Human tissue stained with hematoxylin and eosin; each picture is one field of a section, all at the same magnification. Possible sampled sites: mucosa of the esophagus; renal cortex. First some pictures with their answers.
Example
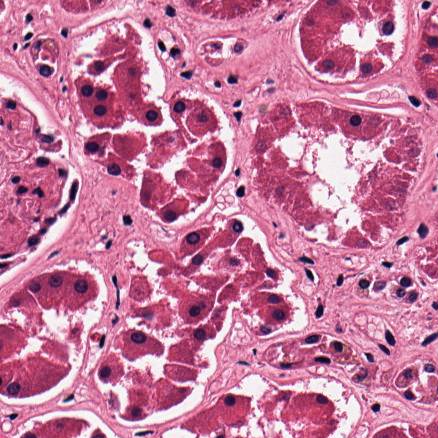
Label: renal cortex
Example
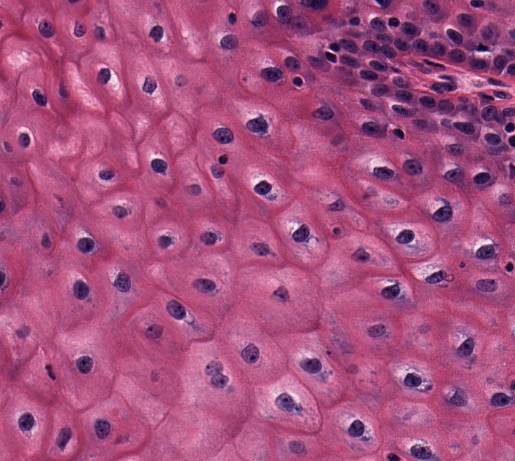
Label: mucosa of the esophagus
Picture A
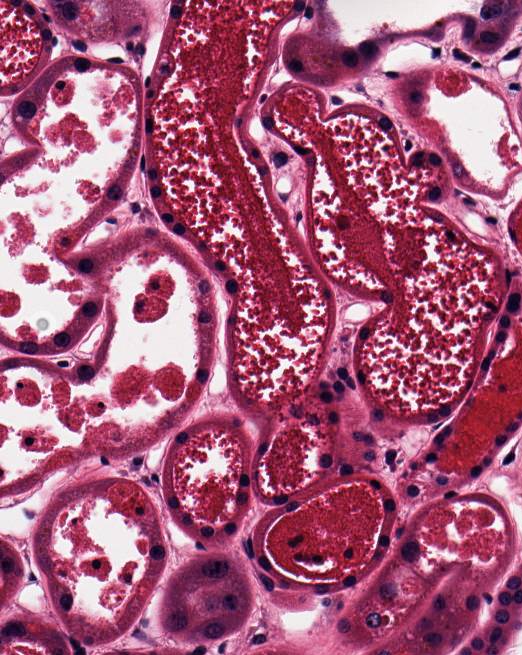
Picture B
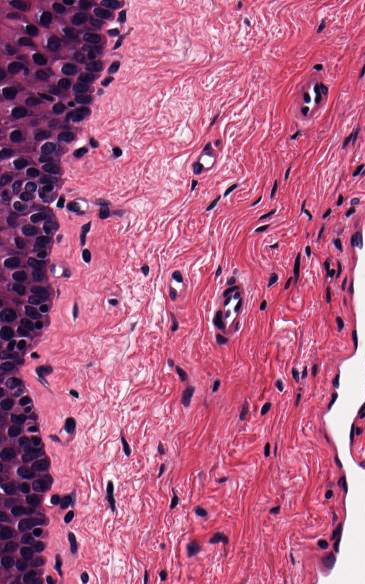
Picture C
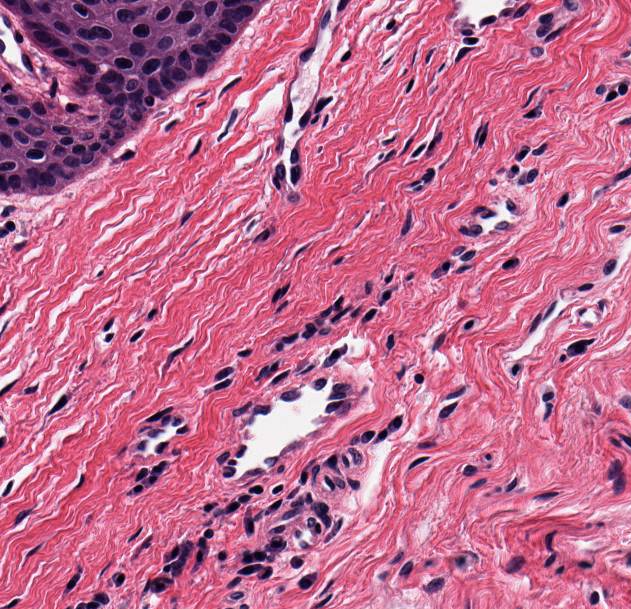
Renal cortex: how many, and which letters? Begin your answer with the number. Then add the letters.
1, namely A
